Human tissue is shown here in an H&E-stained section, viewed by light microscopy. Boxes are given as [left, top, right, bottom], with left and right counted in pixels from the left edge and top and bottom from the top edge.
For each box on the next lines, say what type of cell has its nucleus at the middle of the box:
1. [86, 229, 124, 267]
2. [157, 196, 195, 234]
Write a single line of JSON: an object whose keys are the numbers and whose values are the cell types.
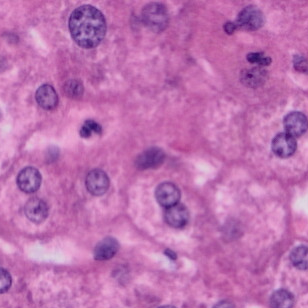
{"1": "endothelial cell", "2": "hepatocyte"}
